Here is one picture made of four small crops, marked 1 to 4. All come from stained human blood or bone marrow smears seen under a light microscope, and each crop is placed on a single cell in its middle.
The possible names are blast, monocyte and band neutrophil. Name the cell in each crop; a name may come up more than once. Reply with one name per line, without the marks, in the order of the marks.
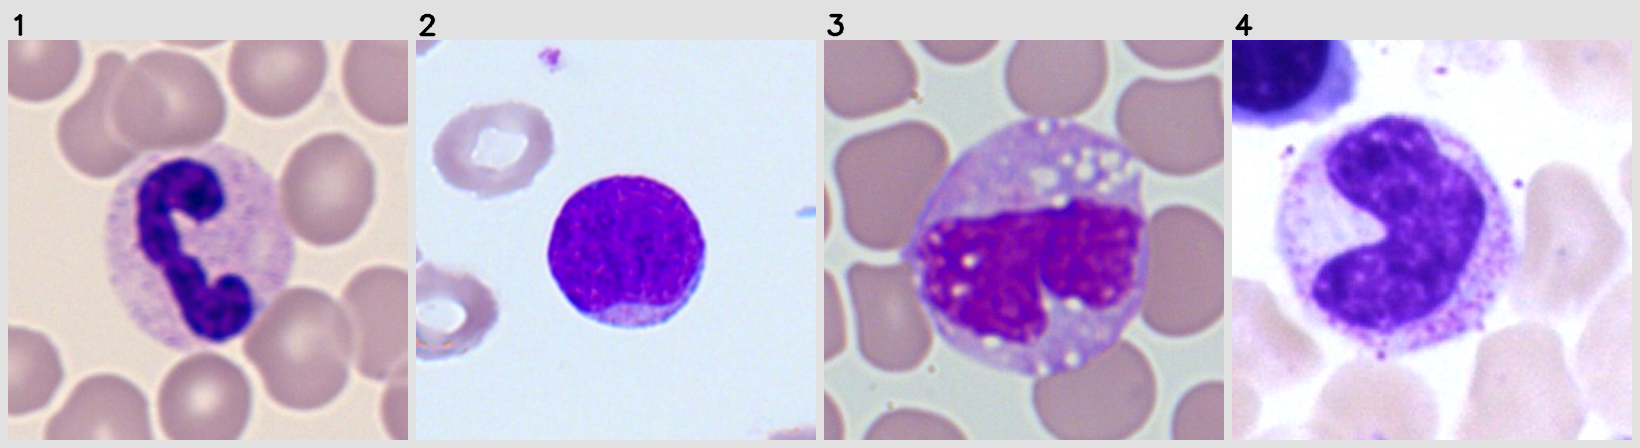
band neutrophil
blast
monocyte
band neutrophil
